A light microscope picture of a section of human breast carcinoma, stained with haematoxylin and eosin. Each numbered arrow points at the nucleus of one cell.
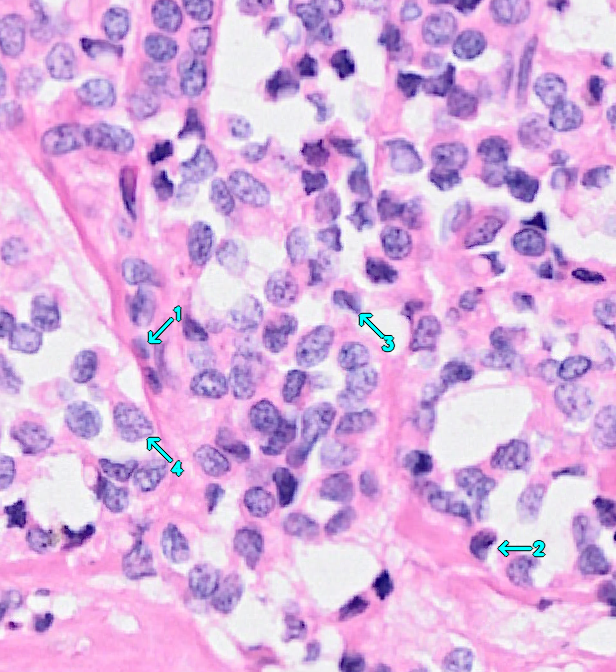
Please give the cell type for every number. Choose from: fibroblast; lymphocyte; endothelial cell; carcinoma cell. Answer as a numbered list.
1. endothelial cell
2. carcinoma cell
3. carcinoma cell
4. carcinoma cell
